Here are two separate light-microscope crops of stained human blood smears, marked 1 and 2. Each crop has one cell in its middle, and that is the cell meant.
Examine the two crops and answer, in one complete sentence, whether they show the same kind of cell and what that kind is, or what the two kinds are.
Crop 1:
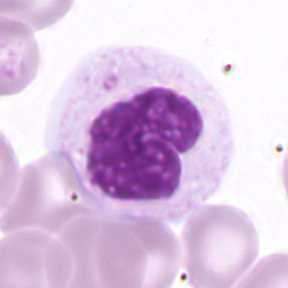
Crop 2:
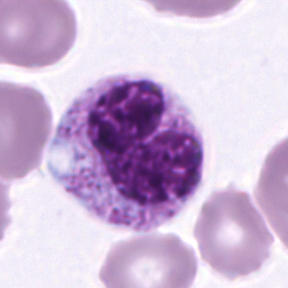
Yes, in the middle of both crops, band neutrophils are shown.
